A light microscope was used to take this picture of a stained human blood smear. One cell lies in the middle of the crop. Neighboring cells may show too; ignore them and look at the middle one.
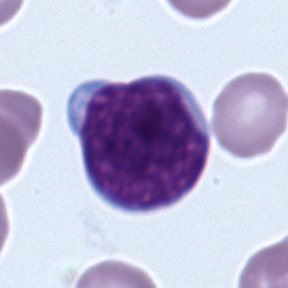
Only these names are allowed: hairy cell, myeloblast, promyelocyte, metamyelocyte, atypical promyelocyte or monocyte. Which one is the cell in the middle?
myeloblast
